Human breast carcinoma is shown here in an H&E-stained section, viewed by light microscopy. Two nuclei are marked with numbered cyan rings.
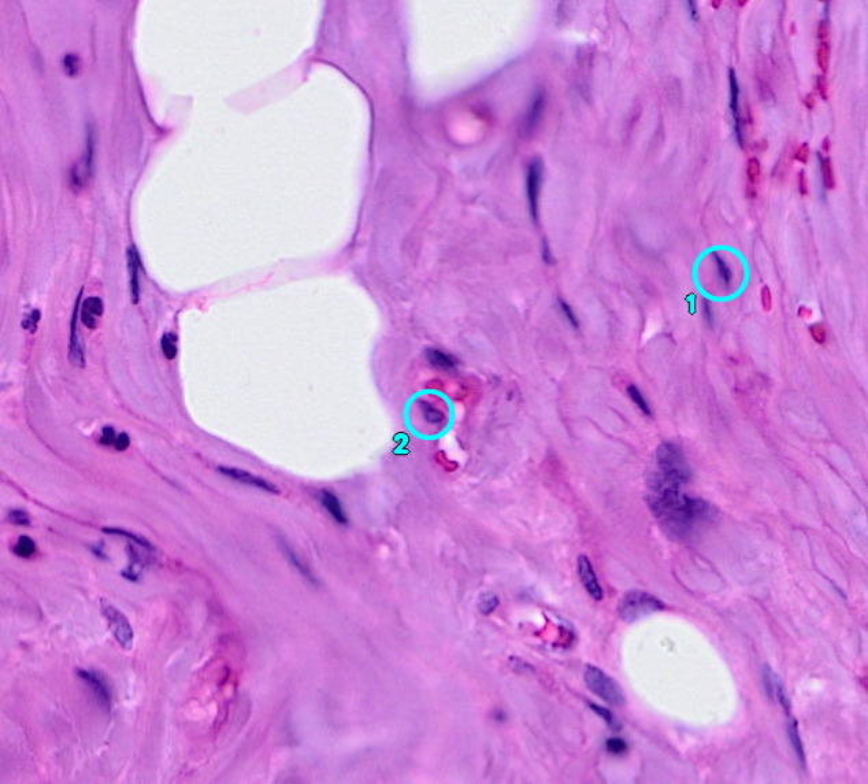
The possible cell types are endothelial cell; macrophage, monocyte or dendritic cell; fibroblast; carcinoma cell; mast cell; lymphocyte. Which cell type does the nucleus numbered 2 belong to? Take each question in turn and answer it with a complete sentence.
The nucleus marked 2 is the nucleus of an endothelial cell.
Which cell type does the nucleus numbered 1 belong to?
The cell assigned the number 1 is a fibroblast.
